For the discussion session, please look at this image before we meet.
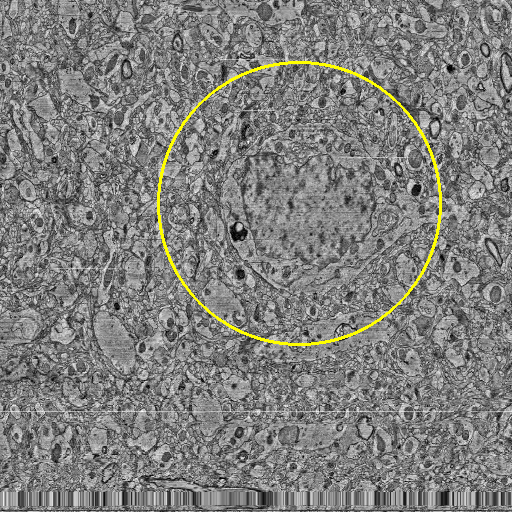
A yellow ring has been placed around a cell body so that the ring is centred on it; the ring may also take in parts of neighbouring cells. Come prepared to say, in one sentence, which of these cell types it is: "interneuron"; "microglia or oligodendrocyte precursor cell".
The cell centred in the ring is an interneuron.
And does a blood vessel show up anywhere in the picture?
No, no blood vessel can be seen.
